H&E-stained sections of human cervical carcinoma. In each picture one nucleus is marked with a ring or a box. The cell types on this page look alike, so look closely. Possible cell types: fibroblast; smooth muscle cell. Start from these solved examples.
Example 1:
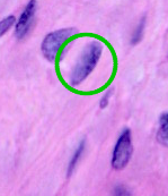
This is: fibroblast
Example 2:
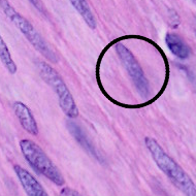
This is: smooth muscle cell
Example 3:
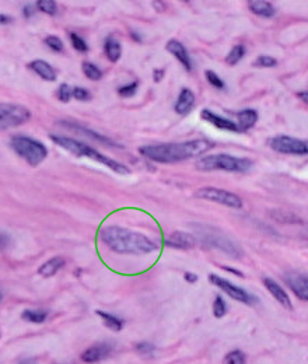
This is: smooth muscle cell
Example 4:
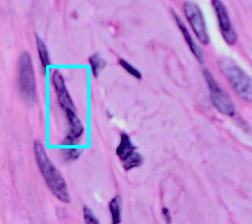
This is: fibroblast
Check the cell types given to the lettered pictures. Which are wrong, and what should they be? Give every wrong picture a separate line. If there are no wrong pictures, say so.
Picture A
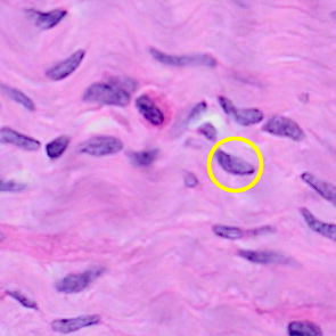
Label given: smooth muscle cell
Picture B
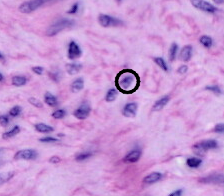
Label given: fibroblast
A: change smooth muscle cell to fibroblast
B: change fibroblast to smooth muscle cell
